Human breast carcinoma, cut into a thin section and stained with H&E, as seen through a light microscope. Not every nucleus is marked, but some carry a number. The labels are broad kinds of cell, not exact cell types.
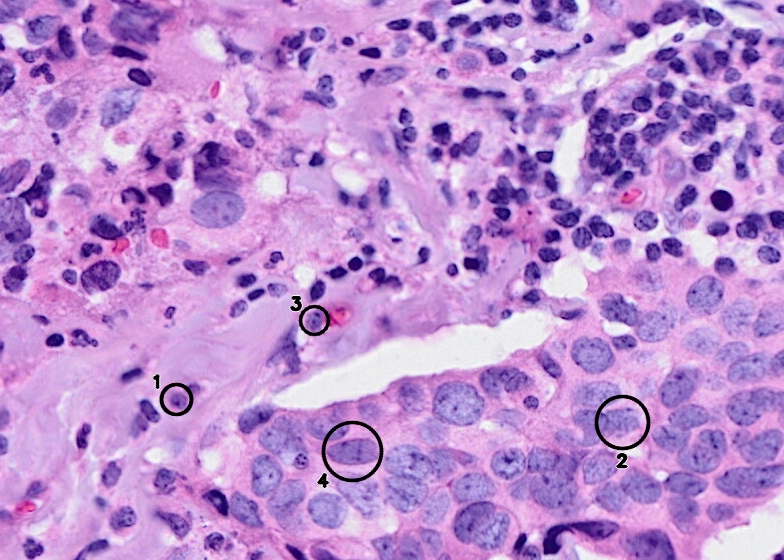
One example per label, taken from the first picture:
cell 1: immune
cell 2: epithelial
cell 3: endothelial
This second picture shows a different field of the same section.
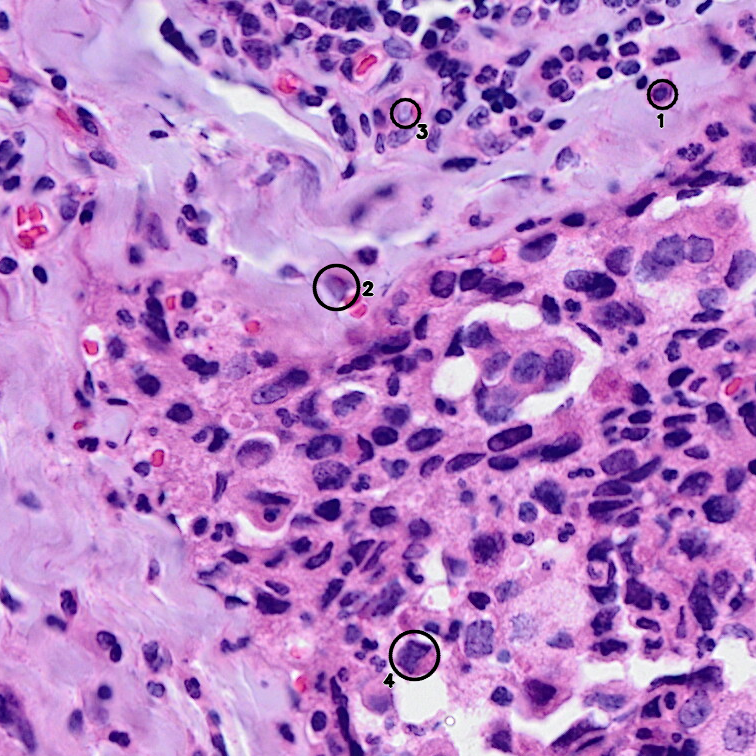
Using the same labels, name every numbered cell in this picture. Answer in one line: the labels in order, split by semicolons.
immune; endothelial; endothelial; epithelial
